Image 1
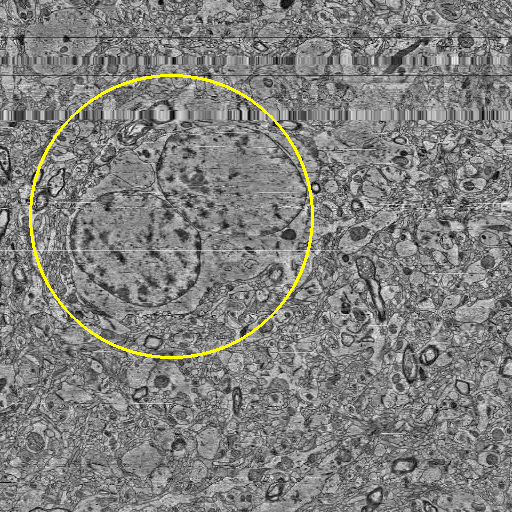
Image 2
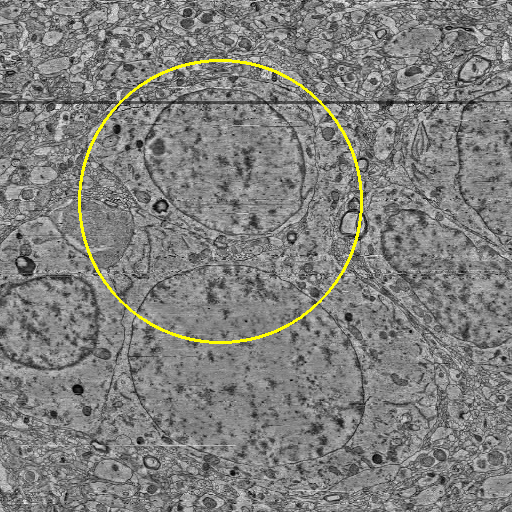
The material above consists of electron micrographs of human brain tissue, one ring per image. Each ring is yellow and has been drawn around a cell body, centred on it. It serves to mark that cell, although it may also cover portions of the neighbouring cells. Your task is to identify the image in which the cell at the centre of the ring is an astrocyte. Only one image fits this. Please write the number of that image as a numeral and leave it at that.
1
